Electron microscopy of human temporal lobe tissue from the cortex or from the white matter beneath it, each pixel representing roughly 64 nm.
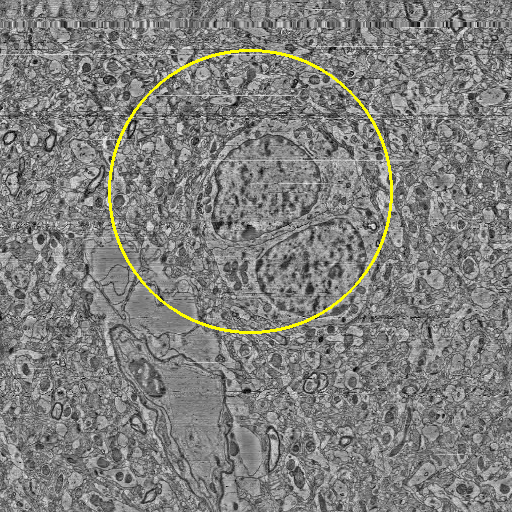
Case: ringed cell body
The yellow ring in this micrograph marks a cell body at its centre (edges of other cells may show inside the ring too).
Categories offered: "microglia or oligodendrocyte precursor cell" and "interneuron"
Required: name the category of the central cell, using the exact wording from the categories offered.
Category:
microglia or oligodendrocyte precursor cell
